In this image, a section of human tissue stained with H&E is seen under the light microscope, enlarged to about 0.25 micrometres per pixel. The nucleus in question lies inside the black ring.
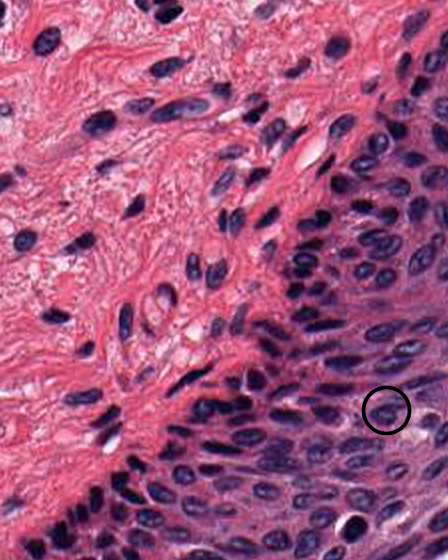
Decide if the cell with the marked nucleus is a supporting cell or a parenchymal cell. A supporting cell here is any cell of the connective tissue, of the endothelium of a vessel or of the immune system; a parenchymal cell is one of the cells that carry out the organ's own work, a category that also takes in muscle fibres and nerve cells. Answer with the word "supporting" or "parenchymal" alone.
parenchymal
